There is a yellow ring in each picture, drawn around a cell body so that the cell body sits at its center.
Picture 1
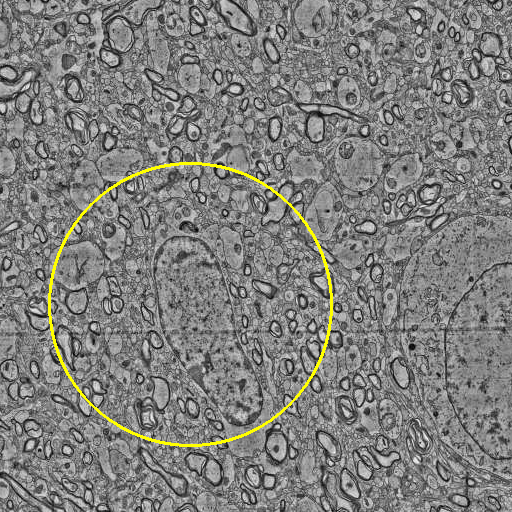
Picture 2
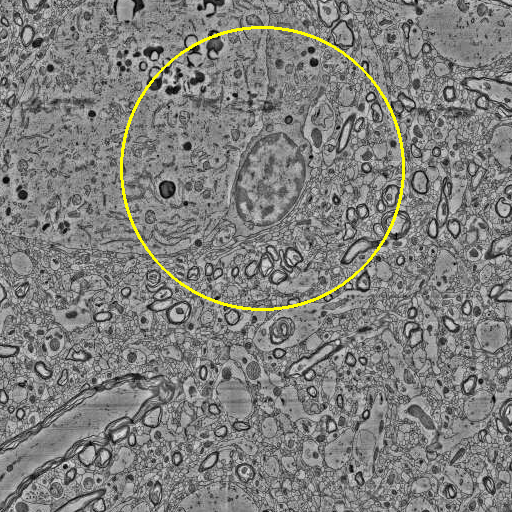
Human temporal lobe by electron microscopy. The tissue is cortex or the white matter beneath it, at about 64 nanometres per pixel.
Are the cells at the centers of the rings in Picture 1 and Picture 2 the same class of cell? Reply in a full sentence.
No, the two cells are two classes of cell.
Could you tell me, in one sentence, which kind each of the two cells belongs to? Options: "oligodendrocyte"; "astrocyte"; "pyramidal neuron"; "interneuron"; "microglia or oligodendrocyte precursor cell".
At the centre of the first ring sits a microglial cell or oligodendrocyte precursor cell, and at the centre of the second sits an oligodendrocyte.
